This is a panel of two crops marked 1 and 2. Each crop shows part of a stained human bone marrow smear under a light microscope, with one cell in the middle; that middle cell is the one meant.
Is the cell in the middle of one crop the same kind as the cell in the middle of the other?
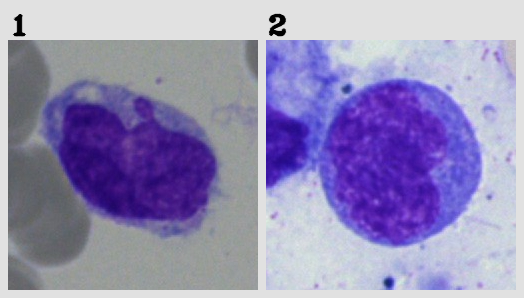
yes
